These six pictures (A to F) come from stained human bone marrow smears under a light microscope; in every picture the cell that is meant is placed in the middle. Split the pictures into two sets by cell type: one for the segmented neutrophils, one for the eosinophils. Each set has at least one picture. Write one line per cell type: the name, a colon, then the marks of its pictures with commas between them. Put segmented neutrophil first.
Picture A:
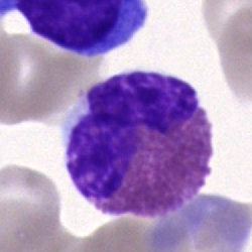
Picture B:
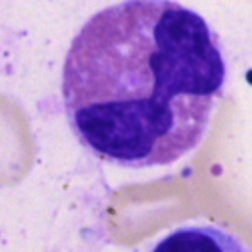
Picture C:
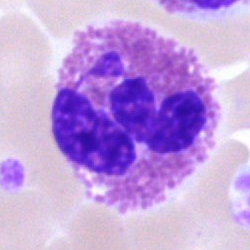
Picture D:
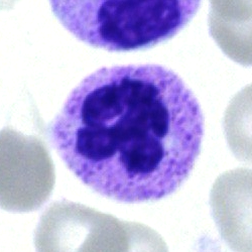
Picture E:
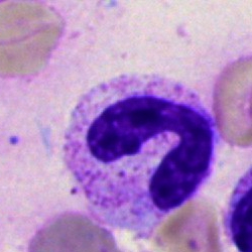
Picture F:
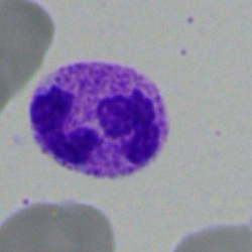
segmented neutrophil: D, E, F
eosinophil: A, B, C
